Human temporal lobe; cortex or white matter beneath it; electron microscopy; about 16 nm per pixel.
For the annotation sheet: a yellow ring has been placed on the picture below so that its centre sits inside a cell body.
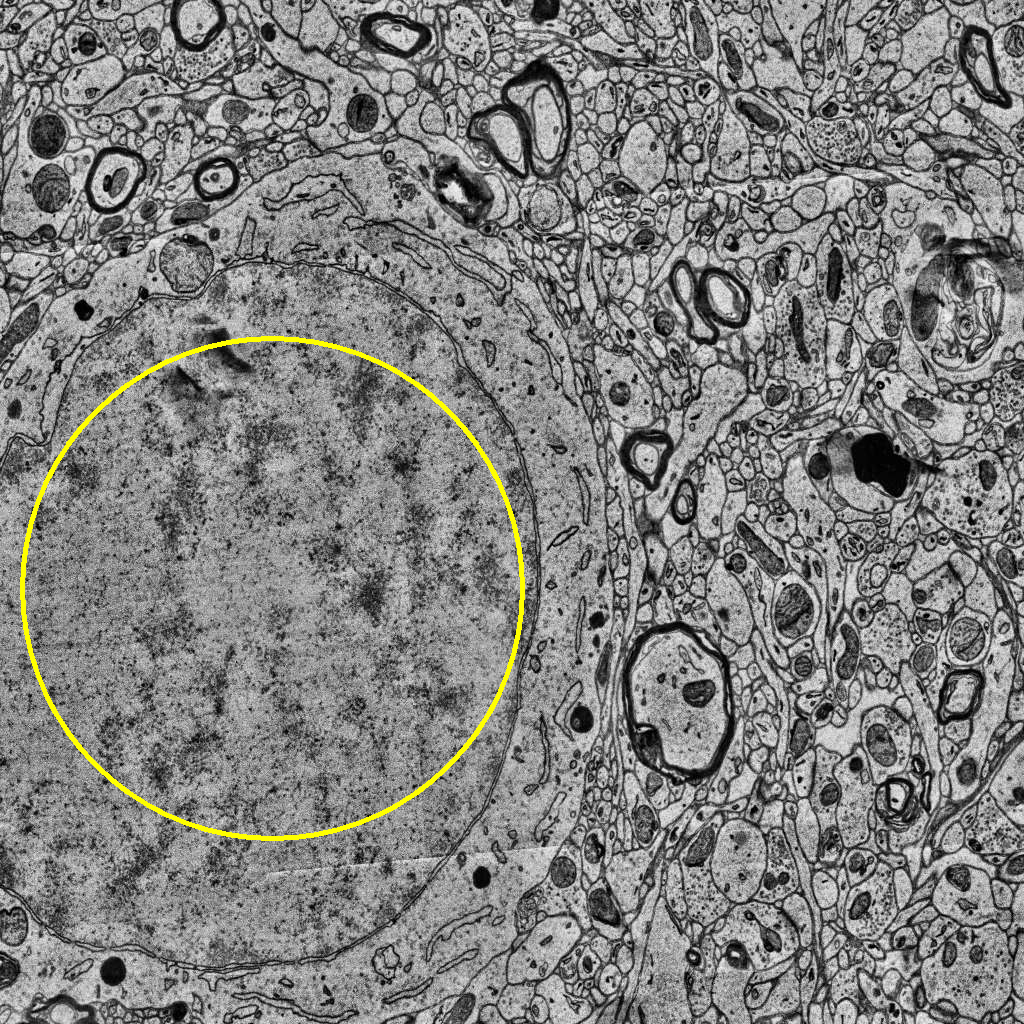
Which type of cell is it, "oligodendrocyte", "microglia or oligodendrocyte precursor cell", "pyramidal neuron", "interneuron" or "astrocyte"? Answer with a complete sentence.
The cell at the ring's centre is an interneuron.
